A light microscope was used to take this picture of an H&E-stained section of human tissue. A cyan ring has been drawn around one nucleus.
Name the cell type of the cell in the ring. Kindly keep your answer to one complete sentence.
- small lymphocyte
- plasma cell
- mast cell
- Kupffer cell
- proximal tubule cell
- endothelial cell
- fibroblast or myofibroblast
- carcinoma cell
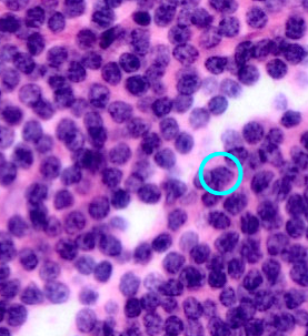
In this preparation, the cell in the ring is a small lymphocyte.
